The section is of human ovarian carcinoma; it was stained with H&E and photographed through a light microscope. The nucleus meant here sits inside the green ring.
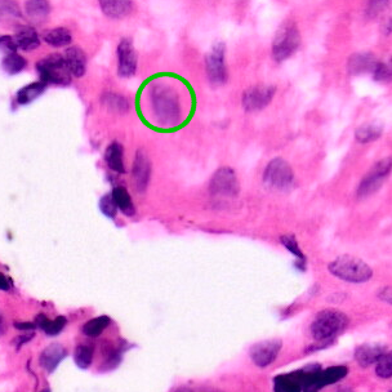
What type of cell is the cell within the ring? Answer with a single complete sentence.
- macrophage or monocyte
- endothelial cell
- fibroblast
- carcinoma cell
It is a fibroblast that the cell within the ring represents.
